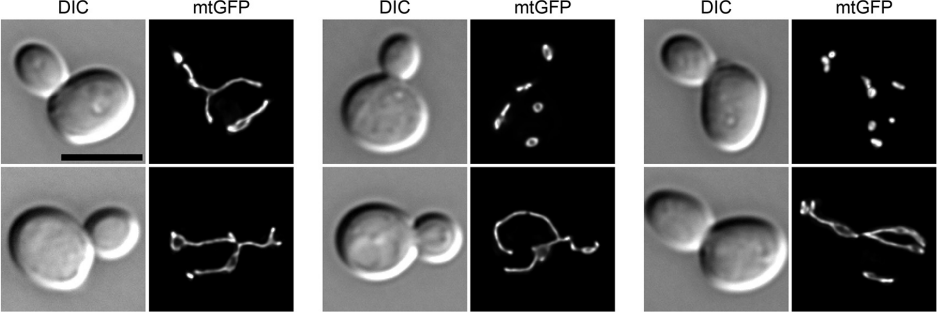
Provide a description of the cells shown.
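These are budding yeast cells, each a larger oval mother cell with a smaller round bud, shown in interference contrast beside images of their mitochondria. In some cells the mitochondria form a continuous network of long, thin, branched tubules that run along the cell periphery and extend into the bud. In other cells the mitochondria are broken into many short, separate fragments, small dots and rings scattered through the cell, with no continuous tubules. The cells themselves keep their smooth outlines and normal budding shape in all images, so the difference lies in the form of the mitochondria.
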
